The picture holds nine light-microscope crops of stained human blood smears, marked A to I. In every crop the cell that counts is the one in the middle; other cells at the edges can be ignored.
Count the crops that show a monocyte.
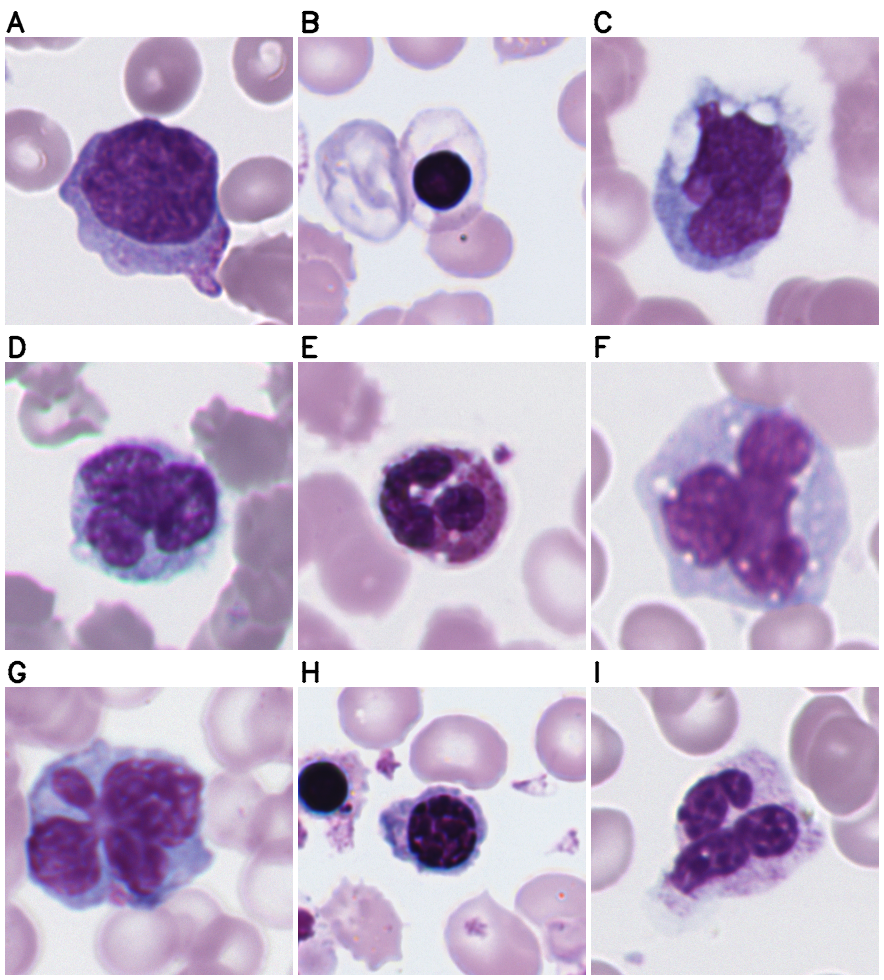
4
